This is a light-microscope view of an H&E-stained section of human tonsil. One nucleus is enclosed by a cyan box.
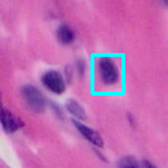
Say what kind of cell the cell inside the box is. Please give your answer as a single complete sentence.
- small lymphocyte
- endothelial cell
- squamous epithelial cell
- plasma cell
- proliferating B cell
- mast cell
Cell type answer for this item: the cell inside the box is a mast cell.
